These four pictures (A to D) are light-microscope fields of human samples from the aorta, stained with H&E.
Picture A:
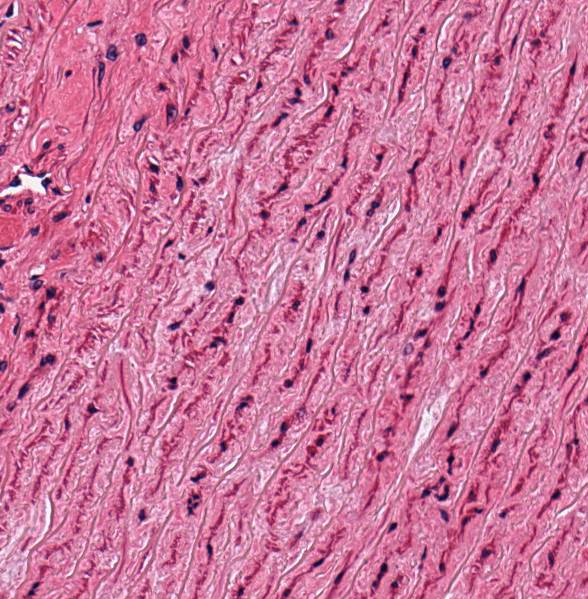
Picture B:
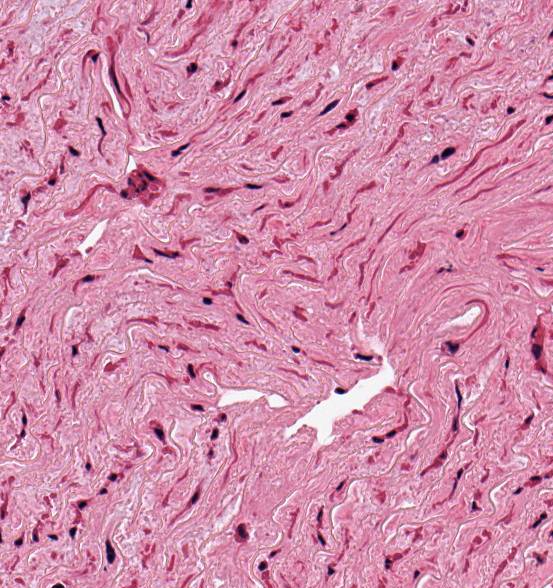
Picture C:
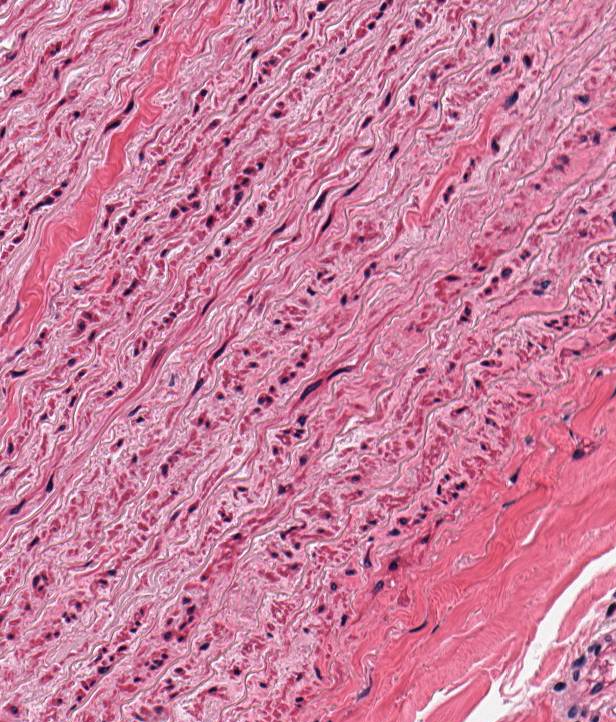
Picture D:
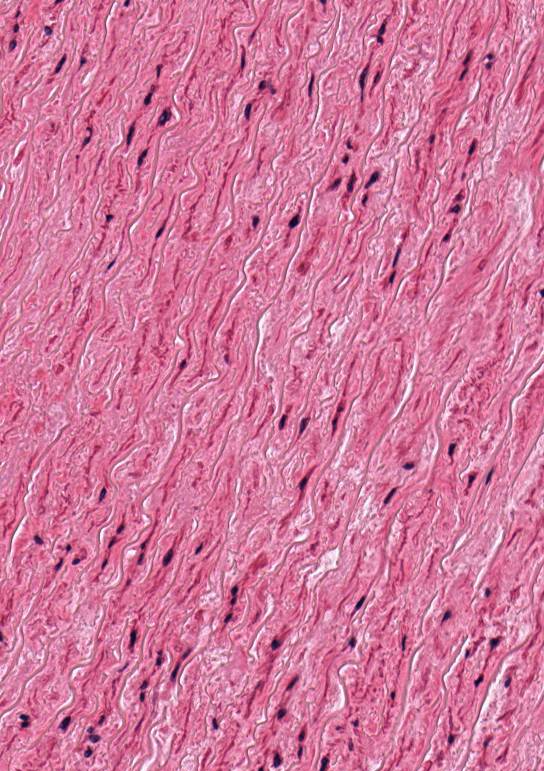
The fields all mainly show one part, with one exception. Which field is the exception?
B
